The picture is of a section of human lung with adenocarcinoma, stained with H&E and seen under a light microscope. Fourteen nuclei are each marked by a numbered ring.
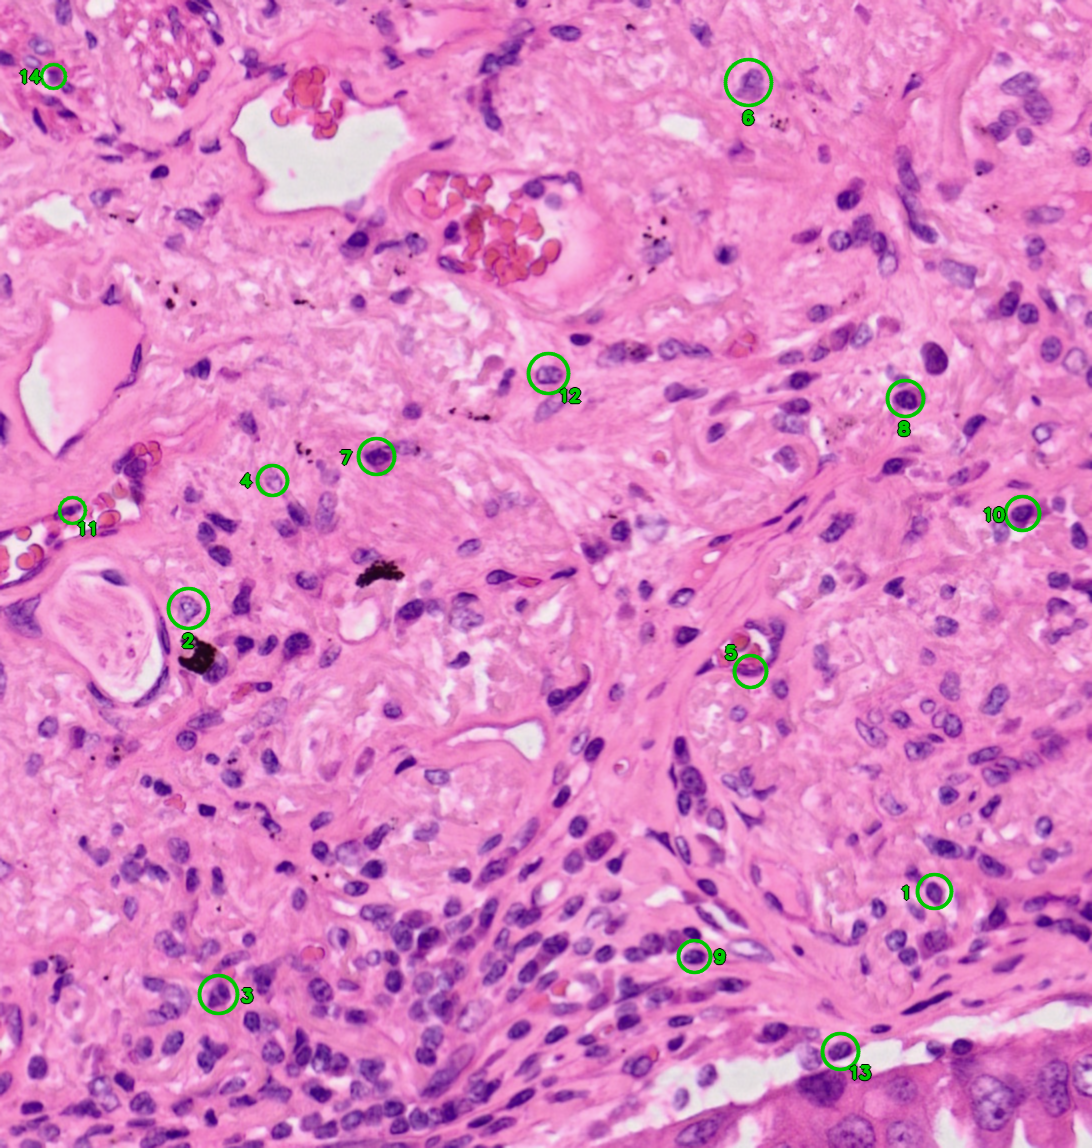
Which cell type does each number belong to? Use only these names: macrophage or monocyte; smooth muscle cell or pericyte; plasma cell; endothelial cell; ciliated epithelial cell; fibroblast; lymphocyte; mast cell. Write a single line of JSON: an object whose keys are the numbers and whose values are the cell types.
{"1": "lymphocyte", "2": "fibroblast", "3": "plasma cell", "4": "fibroblast", "5": "endothelial cell", "6": "fibroblast", "7": "plasma cell", "8": "plasma cell", "9": "lymphocyte", "10": "plasma cell", "11": "endothelial cell", "12": "mast cell", "13": "lymphocyte", "14": "smooth muscle cell or pericyte"}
